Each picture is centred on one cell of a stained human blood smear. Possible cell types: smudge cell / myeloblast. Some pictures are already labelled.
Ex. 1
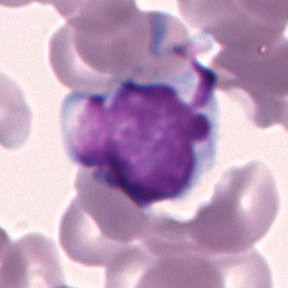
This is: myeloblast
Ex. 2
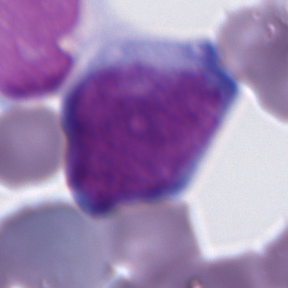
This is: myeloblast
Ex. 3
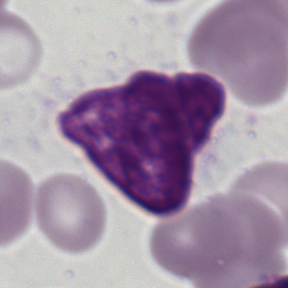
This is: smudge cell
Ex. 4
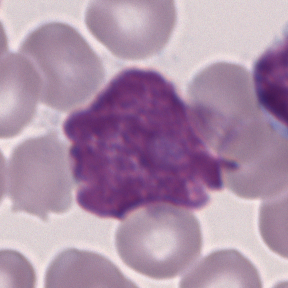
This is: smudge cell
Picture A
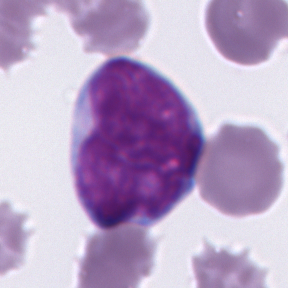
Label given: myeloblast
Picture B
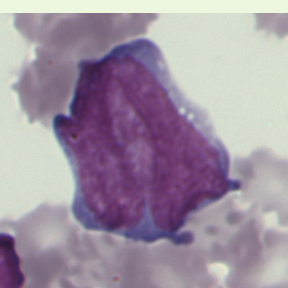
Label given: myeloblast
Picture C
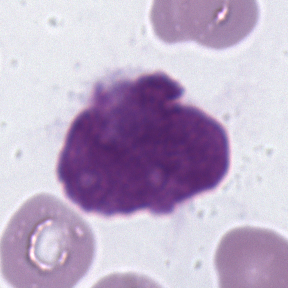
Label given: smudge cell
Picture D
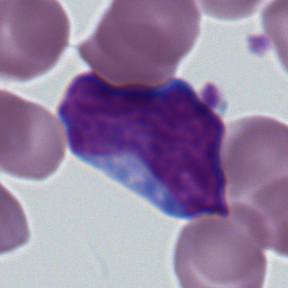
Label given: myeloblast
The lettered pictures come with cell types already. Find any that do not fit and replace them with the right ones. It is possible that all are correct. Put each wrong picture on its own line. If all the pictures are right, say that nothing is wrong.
Every label is right.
